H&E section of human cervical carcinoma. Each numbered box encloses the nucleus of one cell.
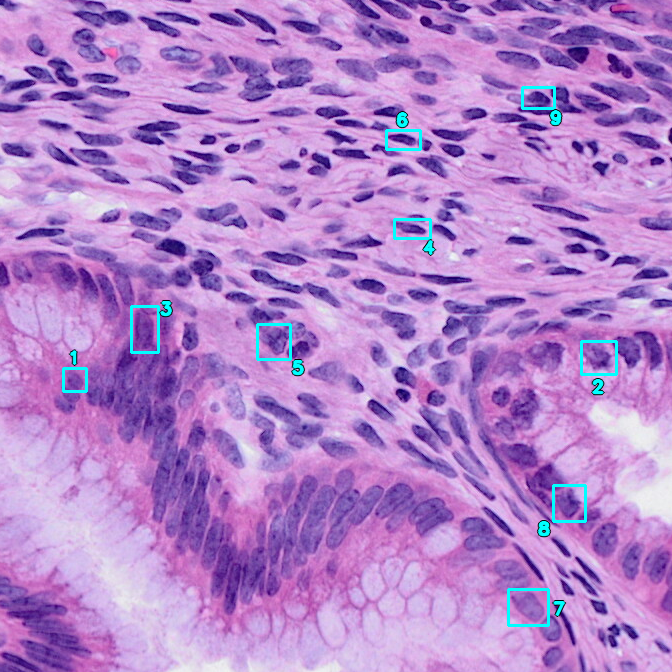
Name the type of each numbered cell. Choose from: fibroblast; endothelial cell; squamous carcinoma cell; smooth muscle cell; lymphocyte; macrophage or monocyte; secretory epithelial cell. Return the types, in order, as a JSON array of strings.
["secretory epithelial cell", "secretory epithelial cell", "secretory epithelial cell", "fibroblast", "endothelial cell", "fibroblast", "secretory epithelial cell", "secretory epithelial cell", "fibroblast"]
